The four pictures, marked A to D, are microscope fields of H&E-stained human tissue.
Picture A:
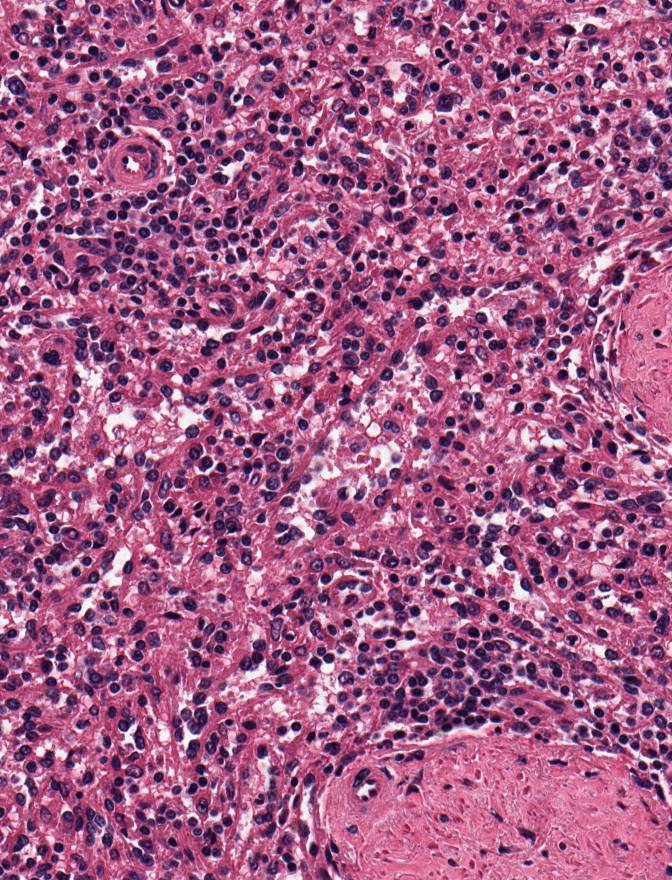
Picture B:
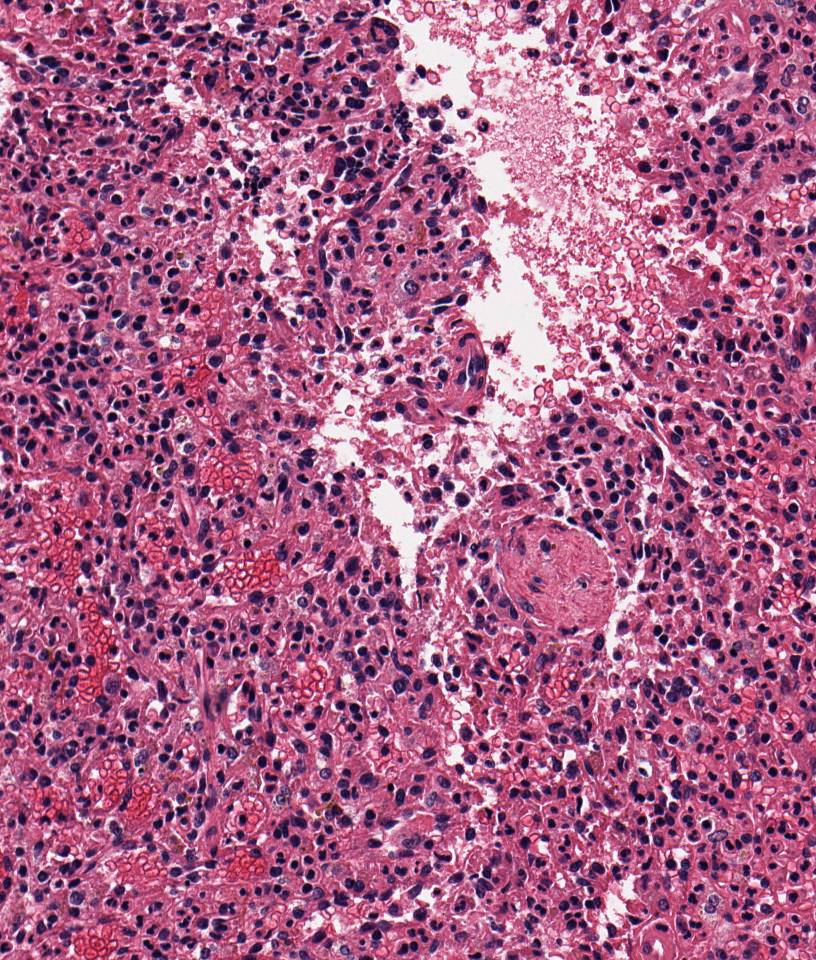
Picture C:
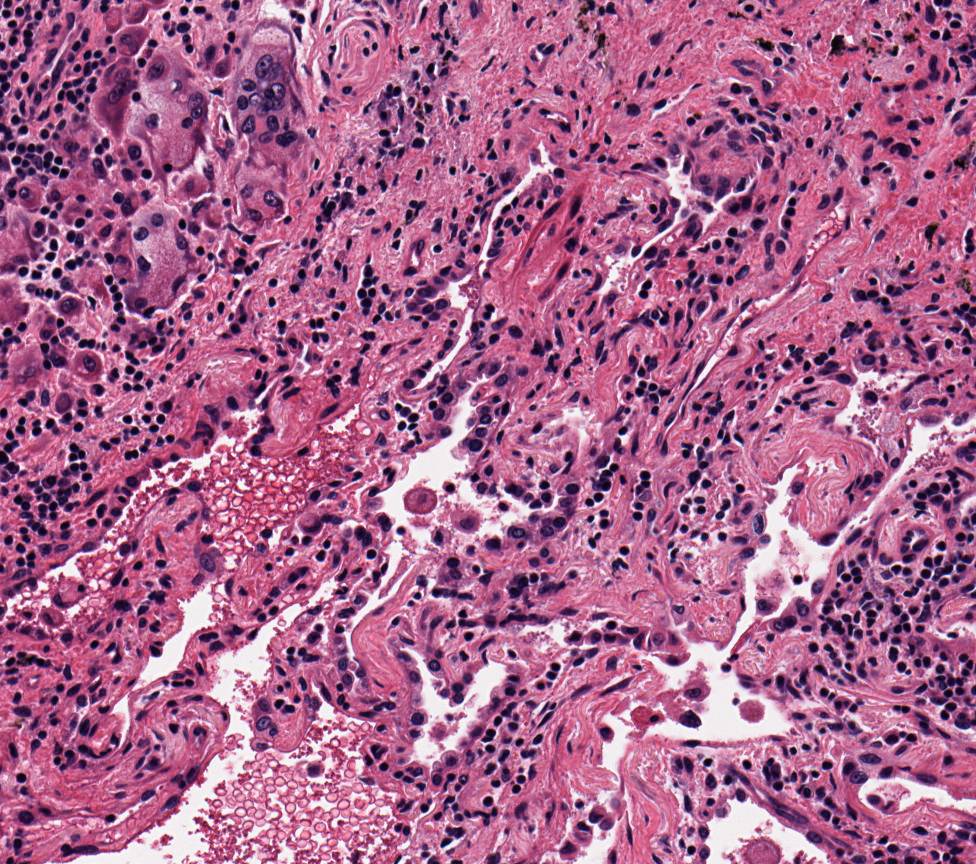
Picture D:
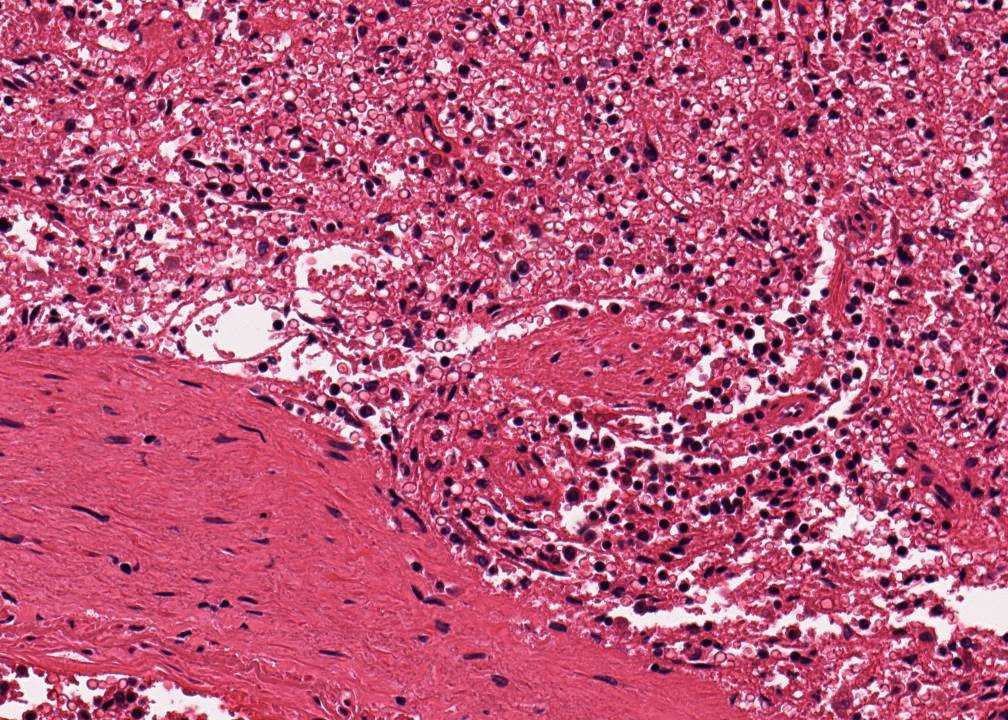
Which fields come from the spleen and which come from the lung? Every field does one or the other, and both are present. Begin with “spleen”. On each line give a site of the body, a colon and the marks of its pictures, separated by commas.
spleen: A, B, D
lung: C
